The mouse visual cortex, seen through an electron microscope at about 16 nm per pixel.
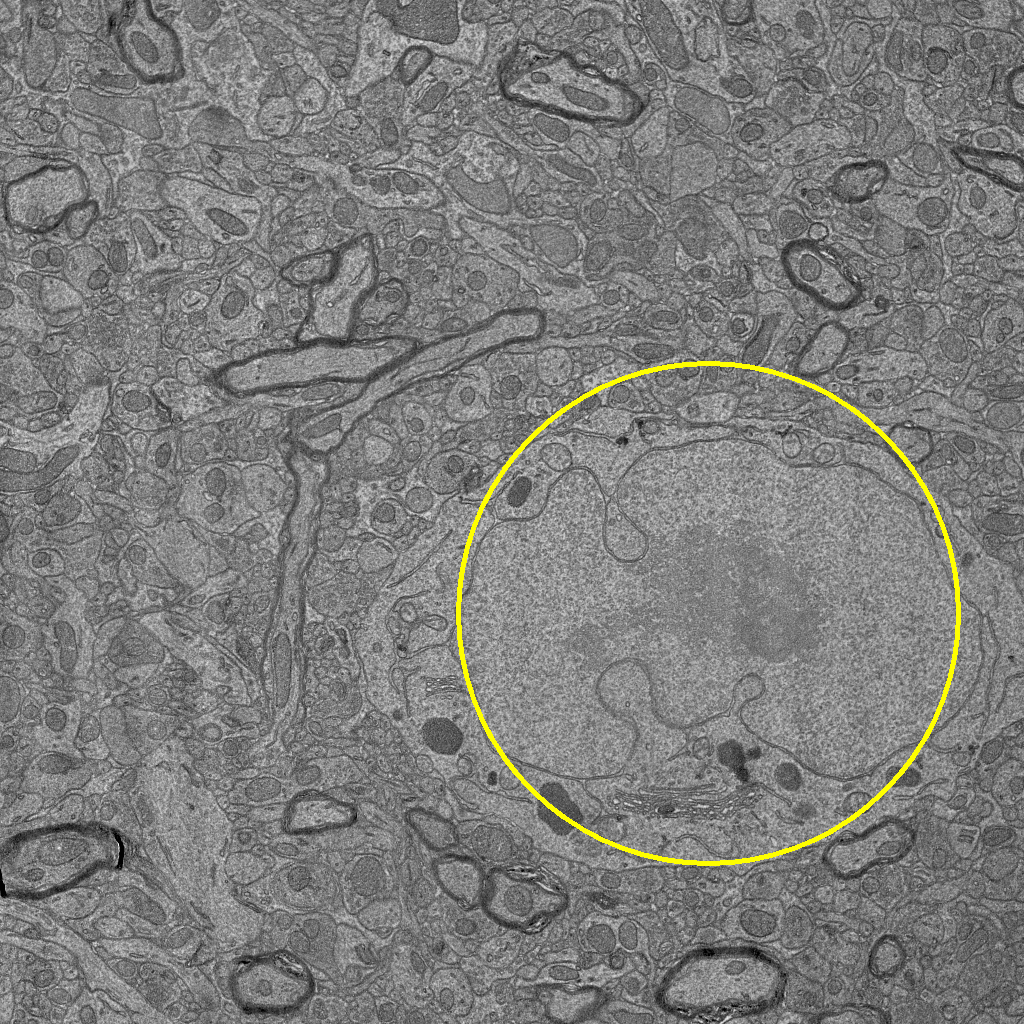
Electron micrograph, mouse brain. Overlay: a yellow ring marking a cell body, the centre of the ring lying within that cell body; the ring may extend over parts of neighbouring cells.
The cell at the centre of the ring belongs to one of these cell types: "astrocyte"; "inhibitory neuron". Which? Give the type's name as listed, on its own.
inhibitory neuron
